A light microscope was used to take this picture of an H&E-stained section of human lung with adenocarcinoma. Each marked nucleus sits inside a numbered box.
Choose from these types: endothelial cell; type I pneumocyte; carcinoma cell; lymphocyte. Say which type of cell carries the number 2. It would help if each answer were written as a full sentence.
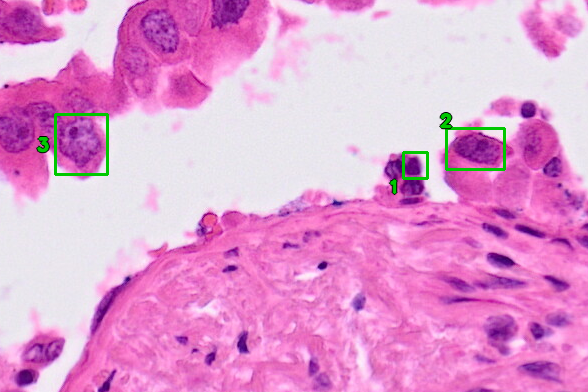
Heads up, the cell numbered 2 is a carcinoma cell.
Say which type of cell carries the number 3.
The cell assigned the number 3 is a carcinoma cell.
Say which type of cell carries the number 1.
The cell to which the number 1 is assigned is a lymphocyte.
